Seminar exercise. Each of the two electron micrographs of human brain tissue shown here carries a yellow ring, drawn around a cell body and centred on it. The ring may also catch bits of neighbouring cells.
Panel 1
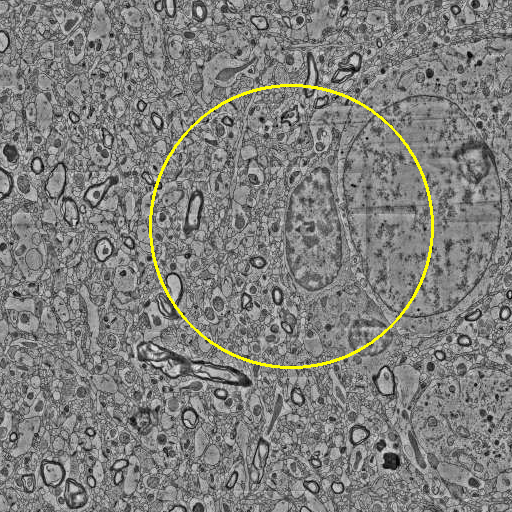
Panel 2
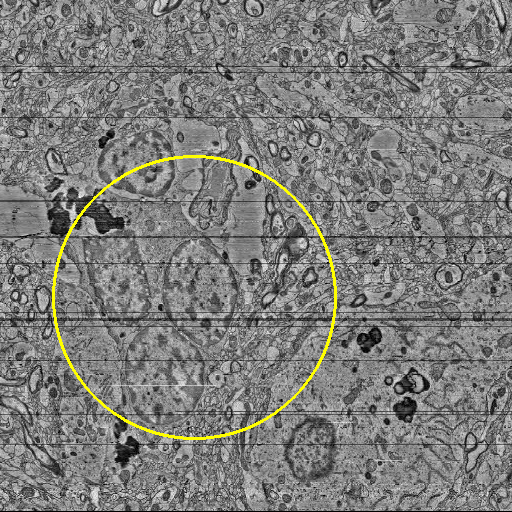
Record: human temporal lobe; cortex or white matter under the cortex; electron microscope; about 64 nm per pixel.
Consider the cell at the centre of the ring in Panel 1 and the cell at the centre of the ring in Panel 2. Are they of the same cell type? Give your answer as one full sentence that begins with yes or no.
Yes, both cells are of the same type.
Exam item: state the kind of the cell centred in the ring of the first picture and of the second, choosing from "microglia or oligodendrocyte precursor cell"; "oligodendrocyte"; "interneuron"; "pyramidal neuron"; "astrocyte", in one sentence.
Each cell, in the first picture and the second, is an oligodendrocyte.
